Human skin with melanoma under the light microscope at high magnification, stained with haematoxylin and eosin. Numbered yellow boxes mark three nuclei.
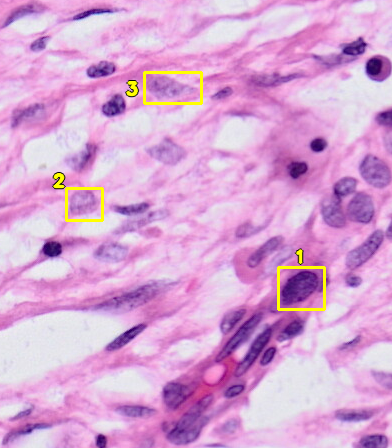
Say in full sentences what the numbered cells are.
Cell 1 is an endothelial cell, cell 2 is a fibroblast or myofibroblast and cell 3 is a fibroblast or myofibroblast.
